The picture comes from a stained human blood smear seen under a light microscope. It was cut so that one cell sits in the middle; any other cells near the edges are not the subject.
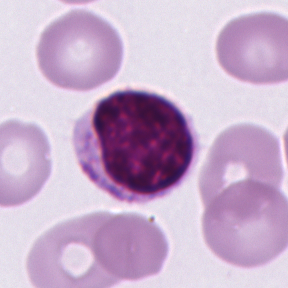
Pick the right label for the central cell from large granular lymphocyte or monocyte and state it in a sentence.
Centrally within this crop lies a large granular lymphocyte.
